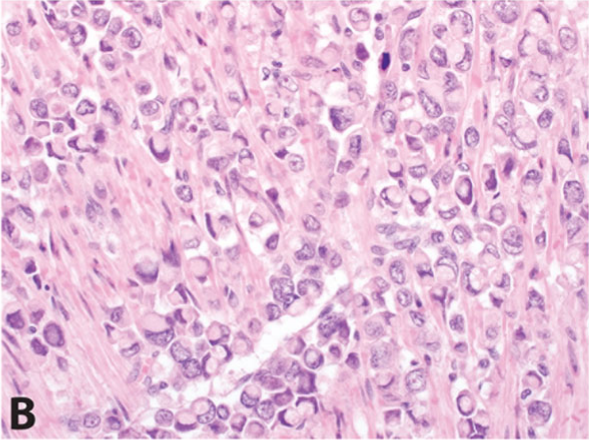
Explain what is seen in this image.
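This hematoxylin and eosin section shows a tumour made of loosely cohesive round to oval cells arranged in cords and small sheets within pink fibrous stroma. The cells have eccentric, purple nuclei with visible nucleoli and a rim of pale cytoplasm, giving them a plasma-cell-like look. Some cells contain clear cytoplasmic vacuoles that push the nucleus to one side.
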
